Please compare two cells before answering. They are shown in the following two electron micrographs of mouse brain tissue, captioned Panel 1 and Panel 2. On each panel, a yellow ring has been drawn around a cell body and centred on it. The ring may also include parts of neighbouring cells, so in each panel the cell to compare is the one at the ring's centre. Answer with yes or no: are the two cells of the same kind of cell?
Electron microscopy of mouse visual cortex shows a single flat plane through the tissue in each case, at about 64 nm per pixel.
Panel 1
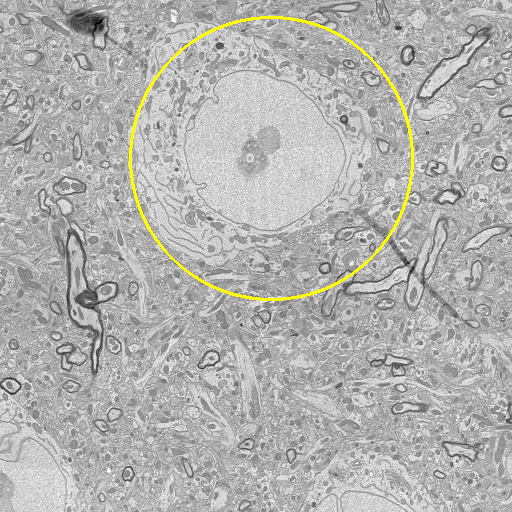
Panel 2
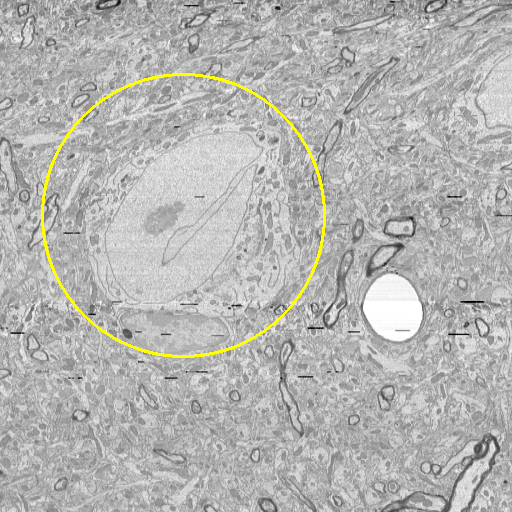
yes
